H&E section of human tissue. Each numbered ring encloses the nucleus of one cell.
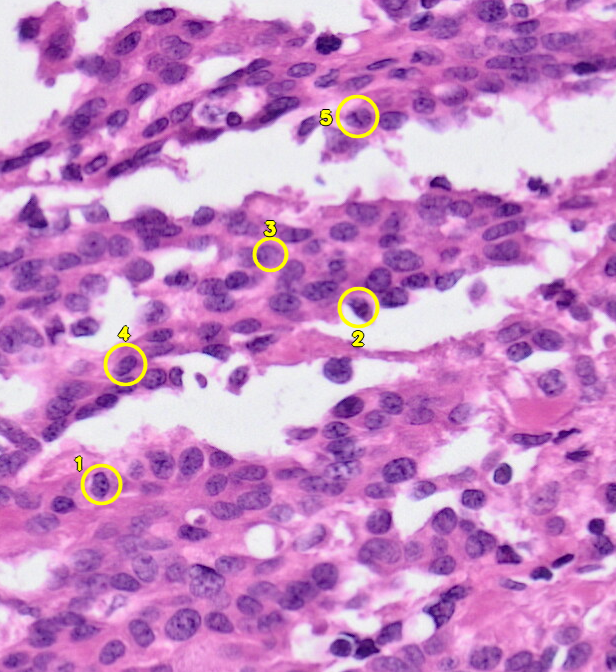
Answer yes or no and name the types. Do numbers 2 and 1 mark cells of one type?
No, a carcinoma cell is what cell 2 is, and a macrophage or monocyte is what cell 1 is.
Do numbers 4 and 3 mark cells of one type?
Yes, both of cells 4 and 3 are carcinoma cells.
